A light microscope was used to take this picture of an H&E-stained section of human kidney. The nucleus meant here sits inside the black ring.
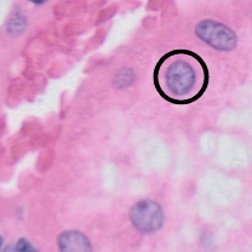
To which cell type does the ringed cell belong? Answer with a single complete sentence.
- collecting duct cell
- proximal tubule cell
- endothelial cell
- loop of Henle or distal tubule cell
By its classification, the ringed cell is a proximal tubule cell.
